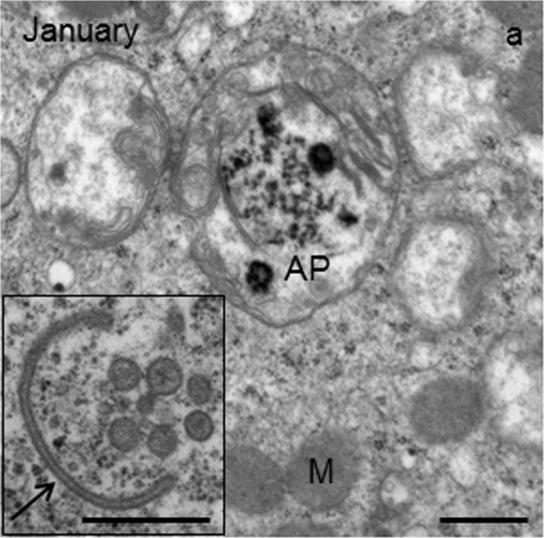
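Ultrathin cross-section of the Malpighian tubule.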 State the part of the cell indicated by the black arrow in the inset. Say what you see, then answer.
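The arrow points to a curved, cup-shaped double membrane. The curved membrane partly encloses a region of cytoplasm with small round profiles. The membrane is open on one side, not a closed vesicle.
Conclusion: phagophore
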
